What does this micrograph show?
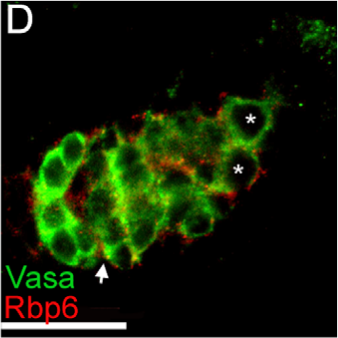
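An elongated cluster of tightly packed rounded germ cells fills the view, each with green cytoplasm outlining a dark, round nucleus. At the narrow end sit a couple of cells in the tip position, and faint red dots lie through the cytoplasm and along the edge of the cluster. This is the tip of an ovary where germline stem cells sit, with somatic cells at the margin.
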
